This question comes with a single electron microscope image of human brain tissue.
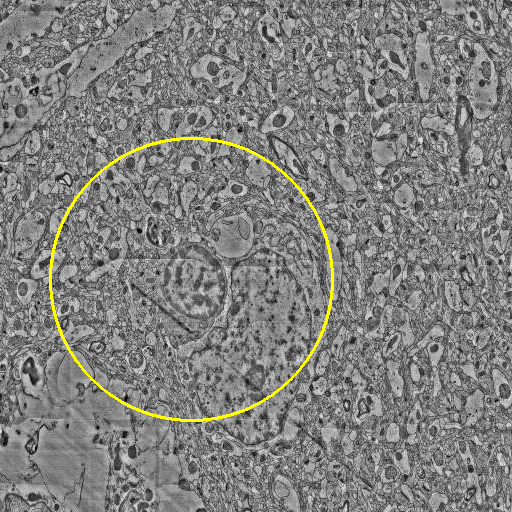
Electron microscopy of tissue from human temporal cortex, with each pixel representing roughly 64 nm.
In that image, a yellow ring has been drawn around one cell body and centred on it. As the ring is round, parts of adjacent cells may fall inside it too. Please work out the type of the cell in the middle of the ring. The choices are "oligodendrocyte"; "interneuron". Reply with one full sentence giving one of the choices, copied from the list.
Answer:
Of the choices, an oligodendrocyte is the cell sitting in the middle of the ring.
